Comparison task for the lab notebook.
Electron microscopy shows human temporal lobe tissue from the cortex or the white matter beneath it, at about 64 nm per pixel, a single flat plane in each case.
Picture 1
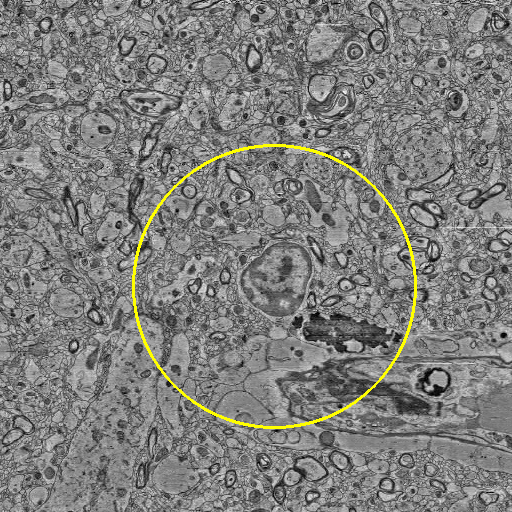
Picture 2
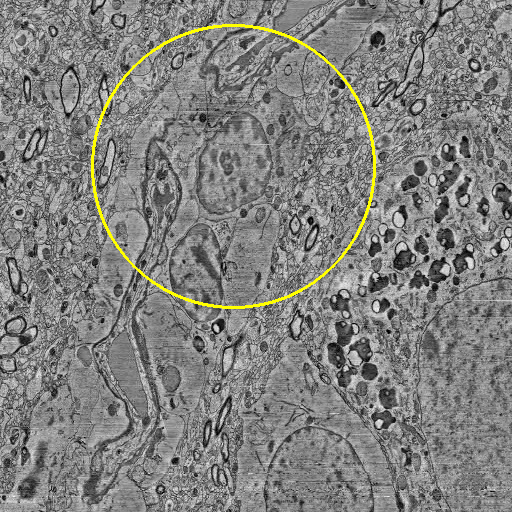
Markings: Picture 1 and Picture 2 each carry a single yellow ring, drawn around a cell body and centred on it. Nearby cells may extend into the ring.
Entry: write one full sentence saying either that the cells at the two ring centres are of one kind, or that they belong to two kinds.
The cells sitting at the ring centres in Picture 1 and Picture 2 belong to two kinds.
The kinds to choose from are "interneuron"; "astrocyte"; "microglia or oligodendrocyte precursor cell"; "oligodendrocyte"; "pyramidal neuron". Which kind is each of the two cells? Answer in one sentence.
Of the two, the first cell is a microglial cell or oligodendrocyte precursor cell and the second cell is an oligodendrocyte.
